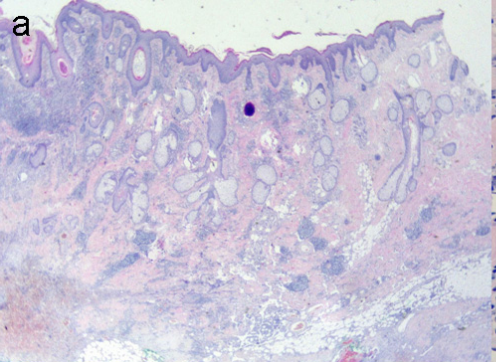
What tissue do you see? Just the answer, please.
Epidermis, followed by dermis with hair follicles and sebaceous glands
